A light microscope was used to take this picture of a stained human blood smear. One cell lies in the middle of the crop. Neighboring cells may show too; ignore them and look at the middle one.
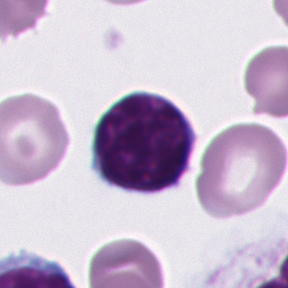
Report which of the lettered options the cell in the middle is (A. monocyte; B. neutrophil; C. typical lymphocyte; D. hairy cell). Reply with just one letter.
C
